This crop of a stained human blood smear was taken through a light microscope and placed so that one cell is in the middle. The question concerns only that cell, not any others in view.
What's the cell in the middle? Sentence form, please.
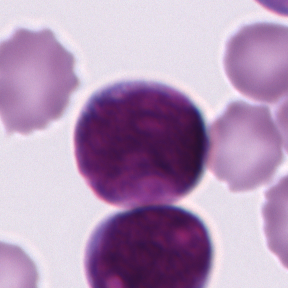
The cell the crop is centered on is a myeloblast.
